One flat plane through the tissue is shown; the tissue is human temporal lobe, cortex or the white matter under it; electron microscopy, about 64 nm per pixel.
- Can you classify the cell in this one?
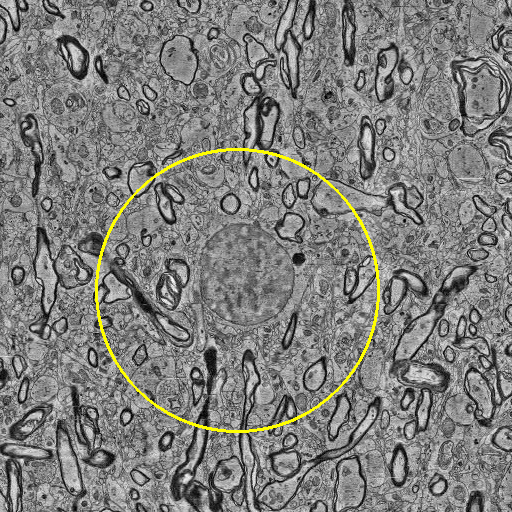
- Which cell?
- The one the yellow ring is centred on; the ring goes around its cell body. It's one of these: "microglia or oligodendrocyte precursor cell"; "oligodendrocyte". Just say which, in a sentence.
The cell body in the ring belongs to an oligodendrocyte.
